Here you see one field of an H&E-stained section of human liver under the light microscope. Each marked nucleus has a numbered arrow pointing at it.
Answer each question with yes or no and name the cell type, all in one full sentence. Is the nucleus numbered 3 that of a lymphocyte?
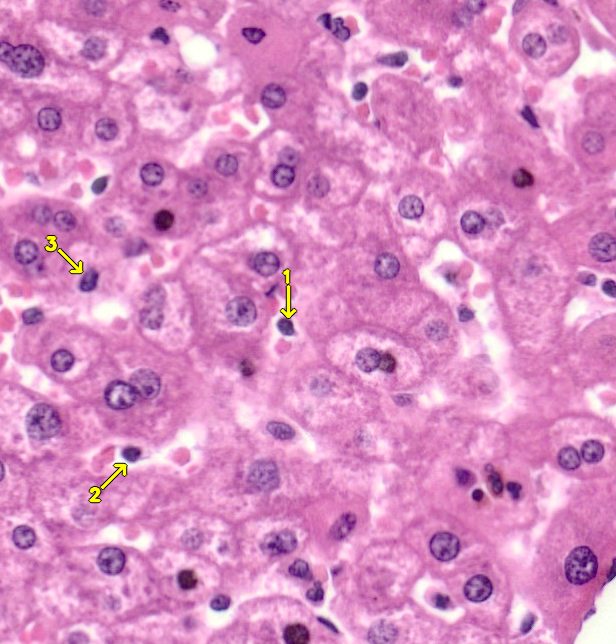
No, cell 3 isn't a lymphocyte; it's a fibroblast or stellate cell.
